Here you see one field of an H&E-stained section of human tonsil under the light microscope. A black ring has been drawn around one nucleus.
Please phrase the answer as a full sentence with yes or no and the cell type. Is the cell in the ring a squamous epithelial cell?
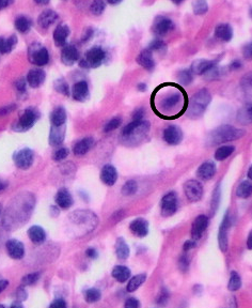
No, what the cell in the ring represents is an endothelial cell rather than a squamous epithelial cell.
